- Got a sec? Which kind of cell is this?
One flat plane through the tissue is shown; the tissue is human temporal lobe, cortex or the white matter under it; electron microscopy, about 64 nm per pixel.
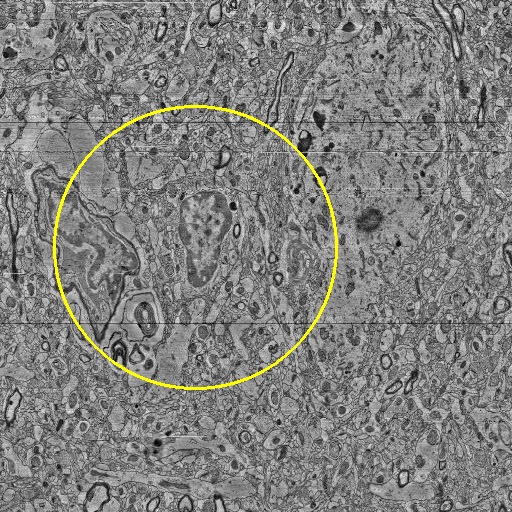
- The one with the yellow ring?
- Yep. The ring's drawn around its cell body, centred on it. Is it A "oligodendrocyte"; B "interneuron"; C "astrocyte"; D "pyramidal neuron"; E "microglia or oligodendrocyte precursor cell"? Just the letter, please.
E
